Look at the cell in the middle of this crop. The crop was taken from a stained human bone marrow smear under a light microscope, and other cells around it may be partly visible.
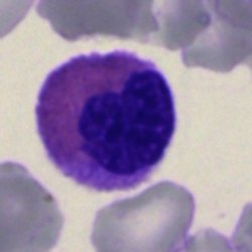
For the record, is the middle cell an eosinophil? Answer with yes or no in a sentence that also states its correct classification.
Yes, in this crop the cell in the middle is an eosinophil.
